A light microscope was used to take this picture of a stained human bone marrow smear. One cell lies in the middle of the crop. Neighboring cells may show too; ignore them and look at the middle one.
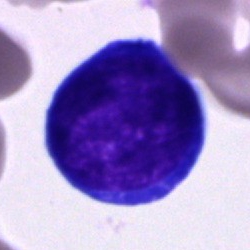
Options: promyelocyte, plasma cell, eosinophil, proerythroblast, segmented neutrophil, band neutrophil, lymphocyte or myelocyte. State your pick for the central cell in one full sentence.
The cell of interest, located centrally, is a proerythroblast.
